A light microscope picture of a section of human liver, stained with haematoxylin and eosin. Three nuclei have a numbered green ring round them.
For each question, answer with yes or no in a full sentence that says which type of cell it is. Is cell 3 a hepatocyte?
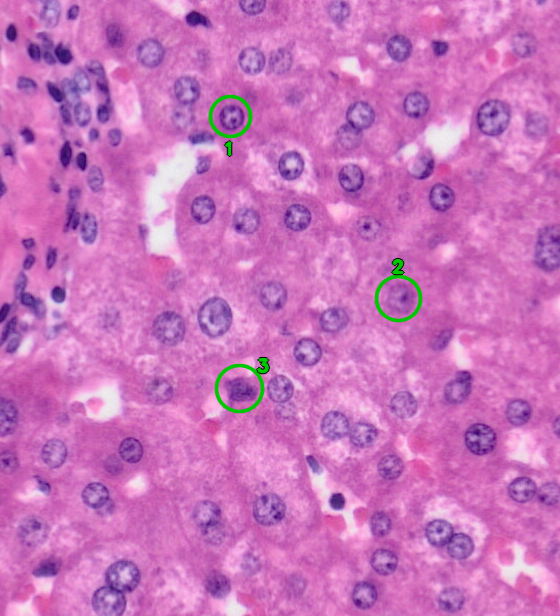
No, the cell referred to as 3 is a fibroblast or stellate cell, not a hepatocyte.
